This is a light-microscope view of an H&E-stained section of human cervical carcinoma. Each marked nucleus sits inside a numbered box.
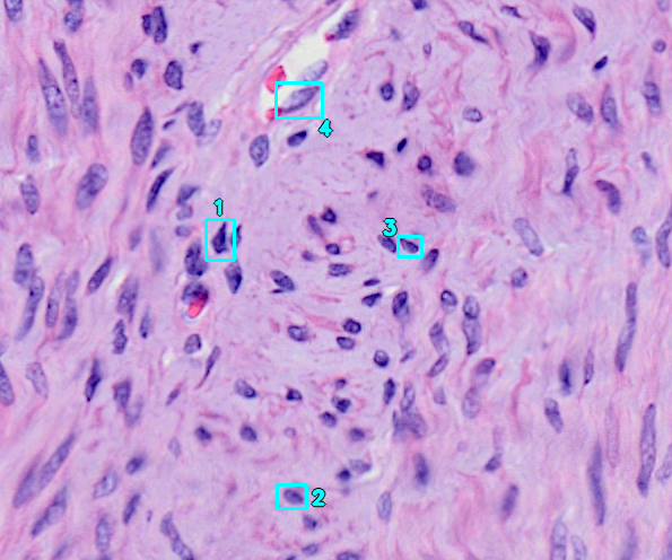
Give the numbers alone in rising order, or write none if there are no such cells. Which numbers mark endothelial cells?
4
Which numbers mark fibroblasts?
1, 3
